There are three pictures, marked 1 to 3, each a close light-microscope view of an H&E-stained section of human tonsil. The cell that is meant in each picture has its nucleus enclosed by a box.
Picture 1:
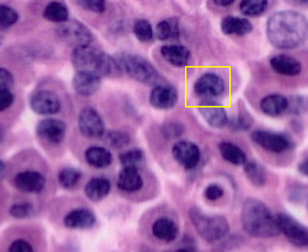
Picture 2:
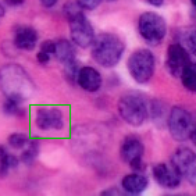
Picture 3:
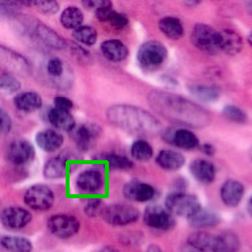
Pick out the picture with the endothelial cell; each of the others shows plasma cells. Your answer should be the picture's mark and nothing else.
2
